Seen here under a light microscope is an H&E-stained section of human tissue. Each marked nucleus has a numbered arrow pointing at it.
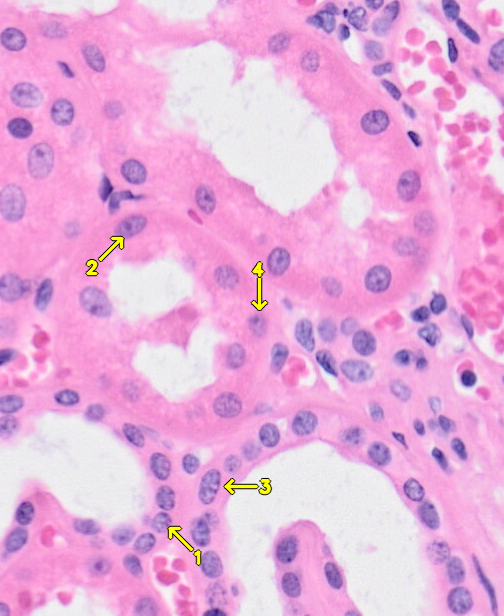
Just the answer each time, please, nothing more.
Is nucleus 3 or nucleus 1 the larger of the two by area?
3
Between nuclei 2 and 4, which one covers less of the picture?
4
